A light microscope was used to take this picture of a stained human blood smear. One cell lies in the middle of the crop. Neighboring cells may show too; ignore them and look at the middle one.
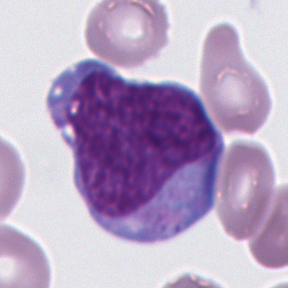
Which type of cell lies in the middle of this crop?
atypical promyelocyte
